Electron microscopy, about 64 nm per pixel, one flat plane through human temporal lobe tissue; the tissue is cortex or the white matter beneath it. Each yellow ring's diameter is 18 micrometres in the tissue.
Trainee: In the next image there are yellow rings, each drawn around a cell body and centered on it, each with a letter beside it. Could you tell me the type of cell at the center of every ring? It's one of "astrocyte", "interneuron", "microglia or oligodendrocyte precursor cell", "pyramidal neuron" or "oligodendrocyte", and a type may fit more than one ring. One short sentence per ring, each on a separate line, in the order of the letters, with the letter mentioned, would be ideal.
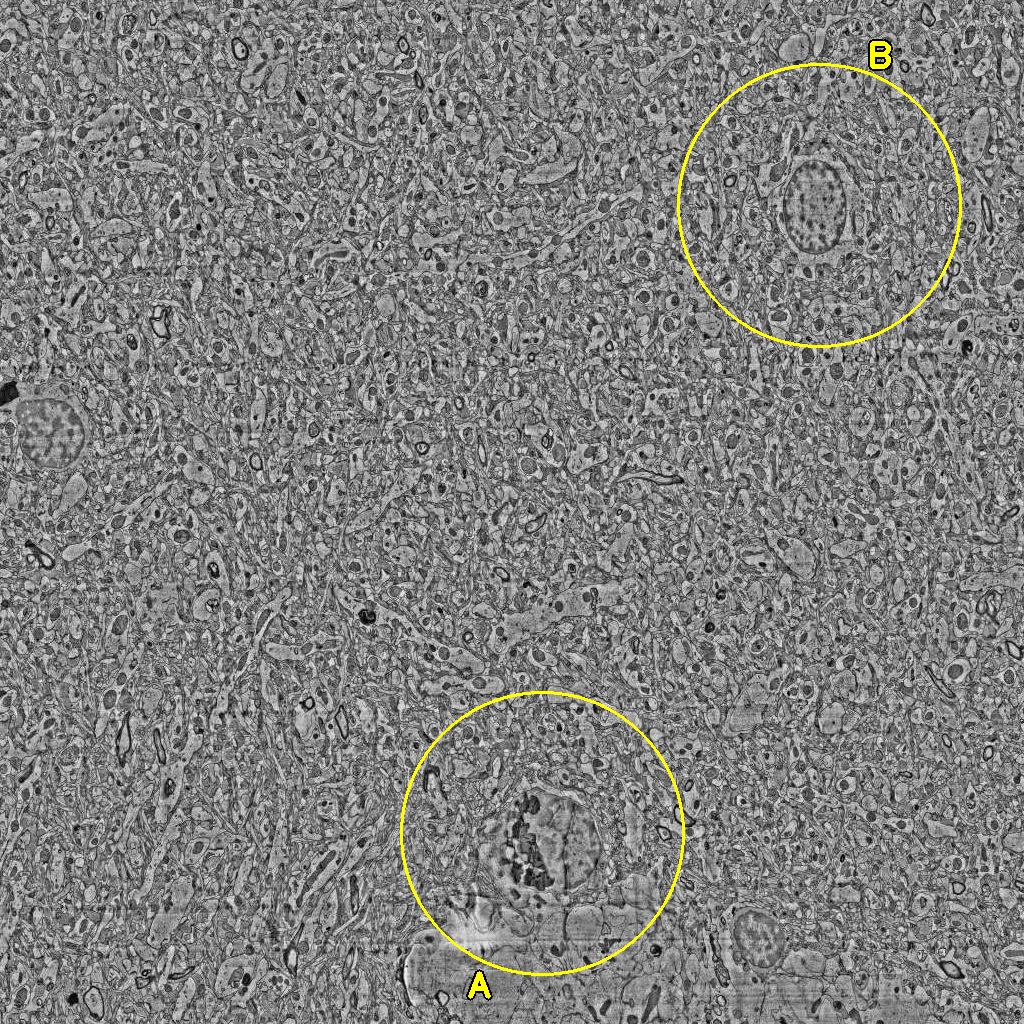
What ring A is centered on is an oligodendrocyte.
What ring B is centered on is an astrocyte.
